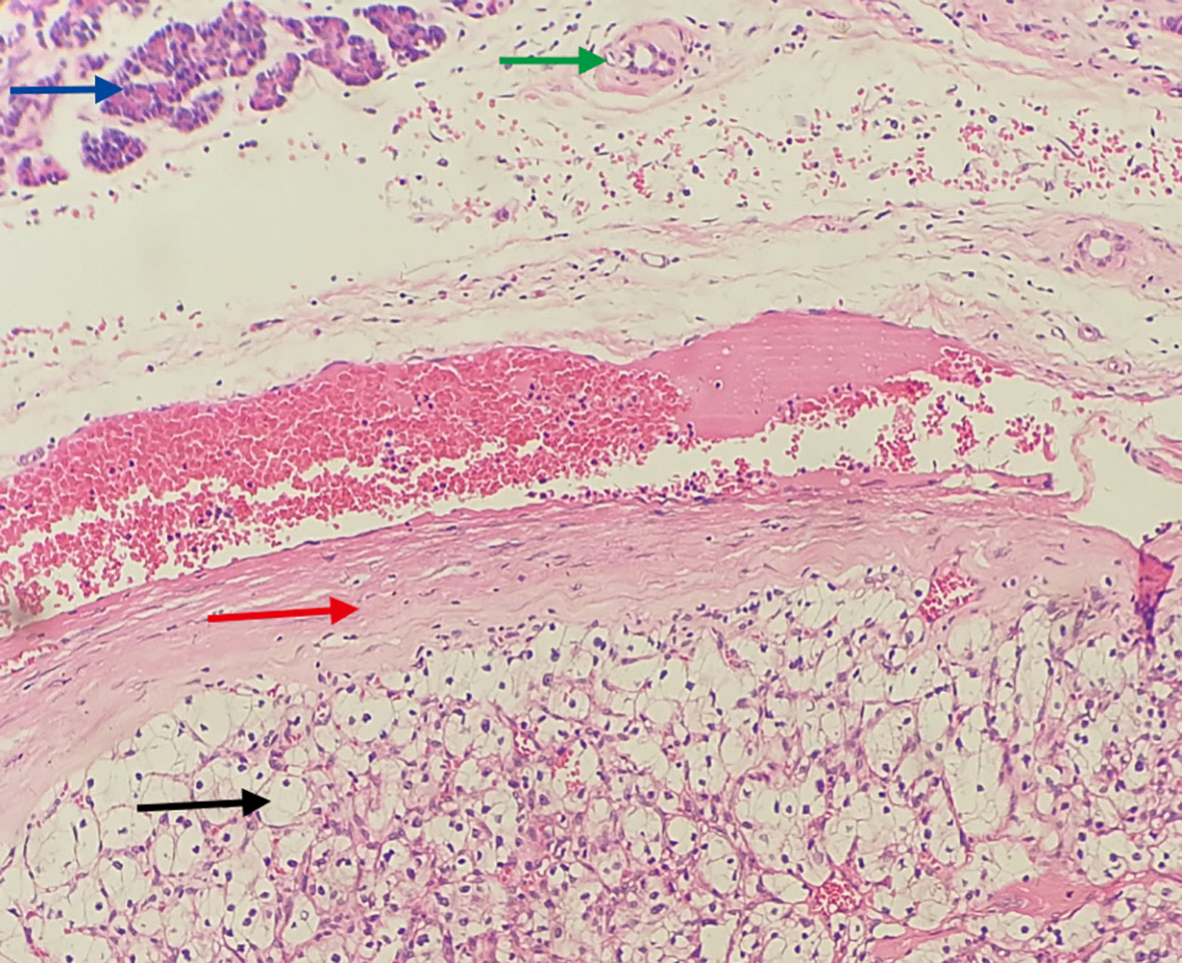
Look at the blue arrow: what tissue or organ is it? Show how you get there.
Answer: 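Pancreatic acini. Small lobules of cells with dark purple, granular cytoplasm in the upper left corner. Lobules sit in loose pale connective tissue.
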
